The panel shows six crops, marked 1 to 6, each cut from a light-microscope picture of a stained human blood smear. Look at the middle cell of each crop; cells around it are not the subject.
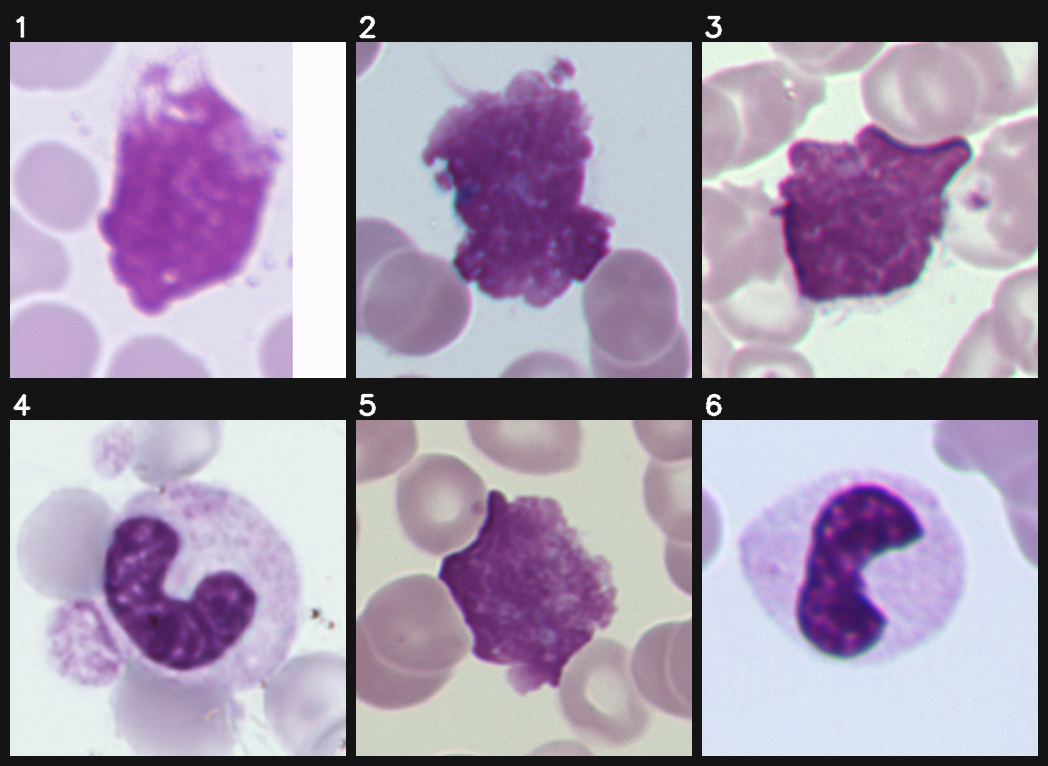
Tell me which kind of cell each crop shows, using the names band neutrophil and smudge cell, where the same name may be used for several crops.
1: smudge cell
2: smudge cell
3: smudge cell
4: band neutrophil
5: smudge cell
6: band neutrophil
